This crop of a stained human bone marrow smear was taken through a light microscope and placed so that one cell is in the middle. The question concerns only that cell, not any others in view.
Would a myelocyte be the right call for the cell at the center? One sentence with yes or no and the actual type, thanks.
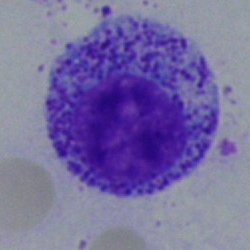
Yes, the cell under consideration, the one in the middle, is a myelocyte.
